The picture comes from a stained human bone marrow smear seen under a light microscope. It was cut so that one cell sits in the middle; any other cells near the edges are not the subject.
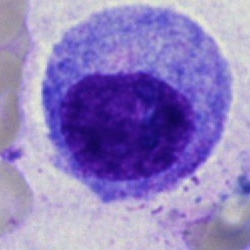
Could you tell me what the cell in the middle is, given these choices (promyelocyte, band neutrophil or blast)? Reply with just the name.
promyelocyte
